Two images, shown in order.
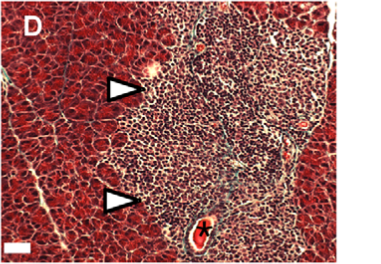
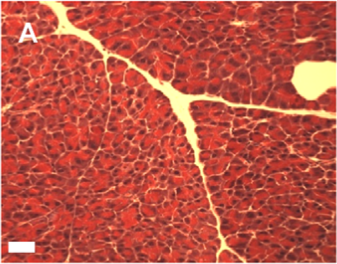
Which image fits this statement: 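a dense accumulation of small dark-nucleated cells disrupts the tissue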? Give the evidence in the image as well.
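Second image: uniform red-stained acinar tissue with no cellular patches. First image: a large patch of small, closely packed cells with dark nuclei occupies the right part of the field. So: the first image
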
